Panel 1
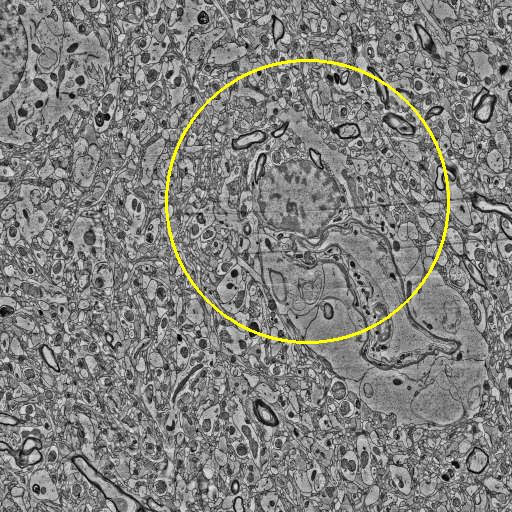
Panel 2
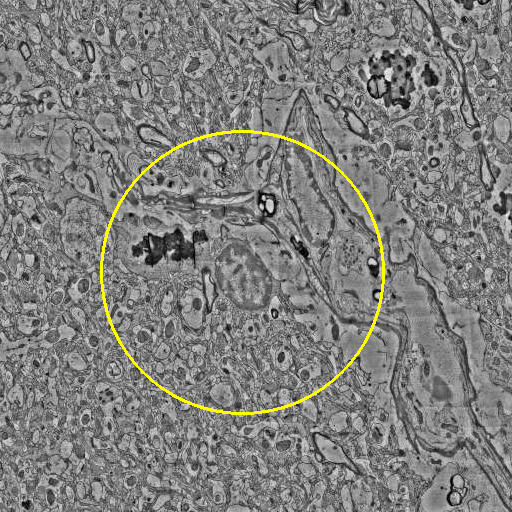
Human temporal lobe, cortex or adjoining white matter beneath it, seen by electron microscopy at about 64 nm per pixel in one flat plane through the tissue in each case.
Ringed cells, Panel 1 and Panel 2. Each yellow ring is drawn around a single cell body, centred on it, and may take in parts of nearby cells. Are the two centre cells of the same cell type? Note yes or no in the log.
yes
